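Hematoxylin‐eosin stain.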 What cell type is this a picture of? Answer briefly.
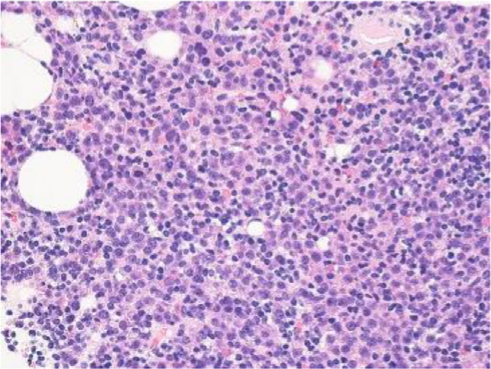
Atypical plasma cells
